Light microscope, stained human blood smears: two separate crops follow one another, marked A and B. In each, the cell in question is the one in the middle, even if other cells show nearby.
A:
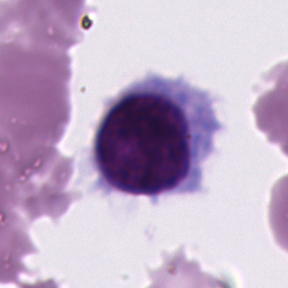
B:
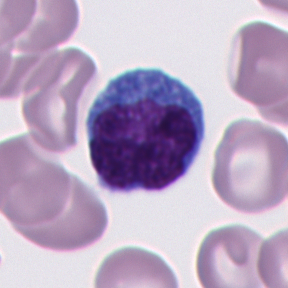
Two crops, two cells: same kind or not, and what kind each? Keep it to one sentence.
No, crop A features a hairy cell, while crop B features a monocyte.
